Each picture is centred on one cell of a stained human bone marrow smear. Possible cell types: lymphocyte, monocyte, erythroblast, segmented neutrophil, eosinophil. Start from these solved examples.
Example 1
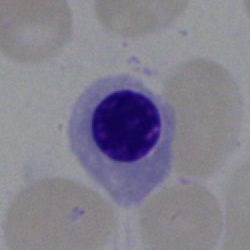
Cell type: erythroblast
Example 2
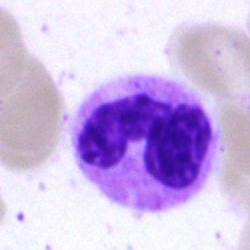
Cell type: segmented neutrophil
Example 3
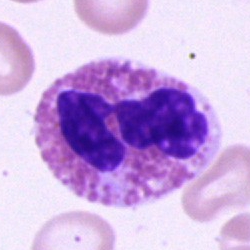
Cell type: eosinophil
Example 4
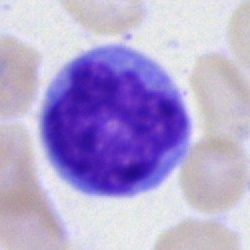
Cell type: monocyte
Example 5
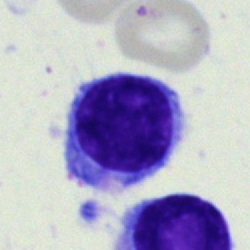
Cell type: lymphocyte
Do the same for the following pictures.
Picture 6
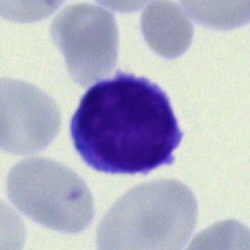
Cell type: lymphocyte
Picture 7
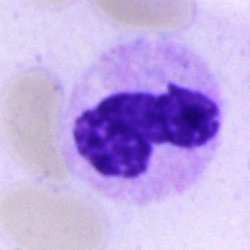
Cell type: segmented neutrophil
